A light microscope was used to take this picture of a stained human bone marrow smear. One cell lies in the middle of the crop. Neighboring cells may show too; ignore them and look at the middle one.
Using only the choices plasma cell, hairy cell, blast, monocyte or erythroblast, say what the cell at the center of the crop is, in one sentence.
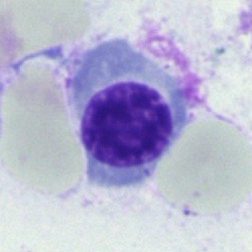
The single cell at the center of the crop is an erythroblast.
